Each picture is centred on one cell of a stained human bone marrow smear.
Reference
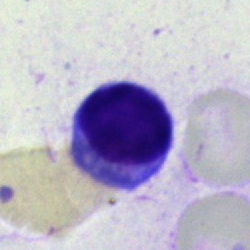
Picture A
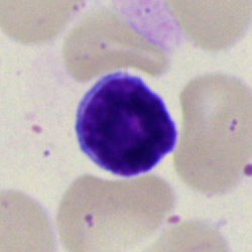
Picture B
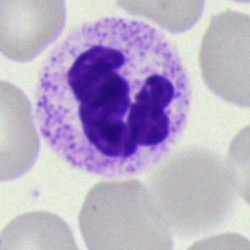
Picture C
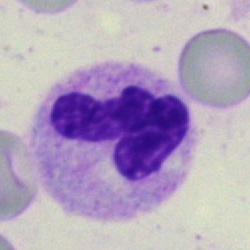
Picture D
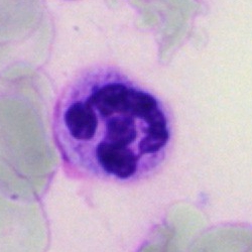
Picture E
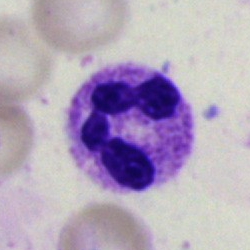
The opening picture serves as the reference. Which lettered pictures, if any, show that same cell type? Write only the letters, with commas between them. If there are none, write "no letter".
A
